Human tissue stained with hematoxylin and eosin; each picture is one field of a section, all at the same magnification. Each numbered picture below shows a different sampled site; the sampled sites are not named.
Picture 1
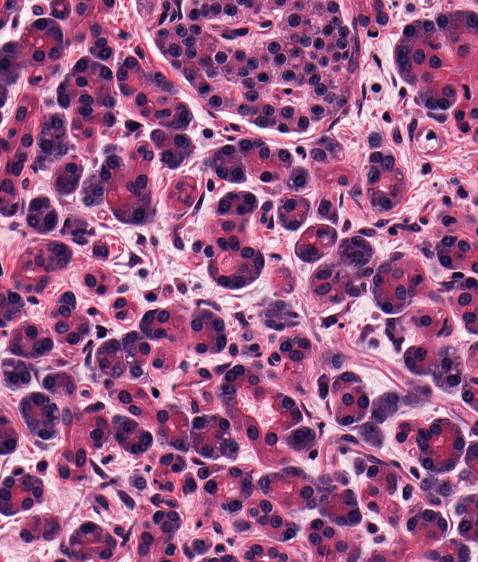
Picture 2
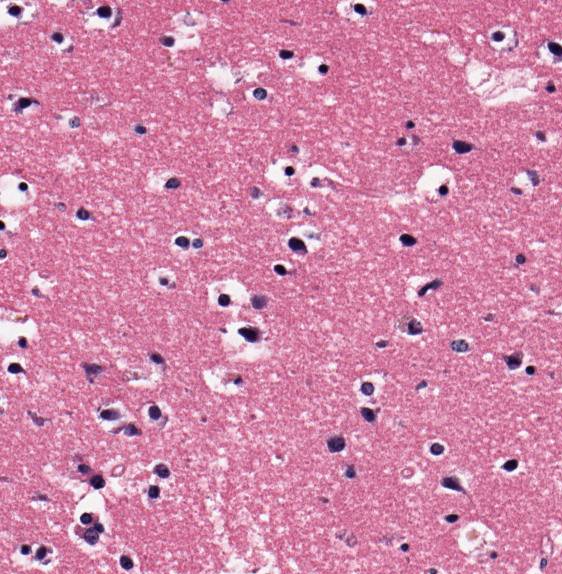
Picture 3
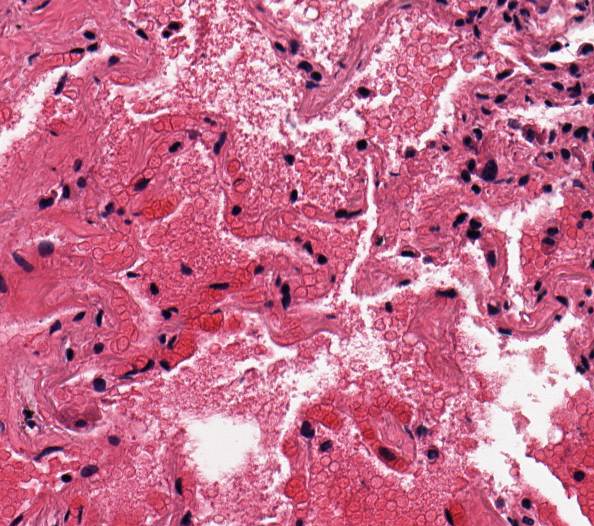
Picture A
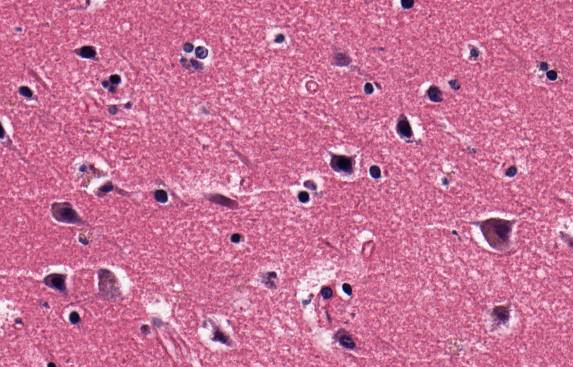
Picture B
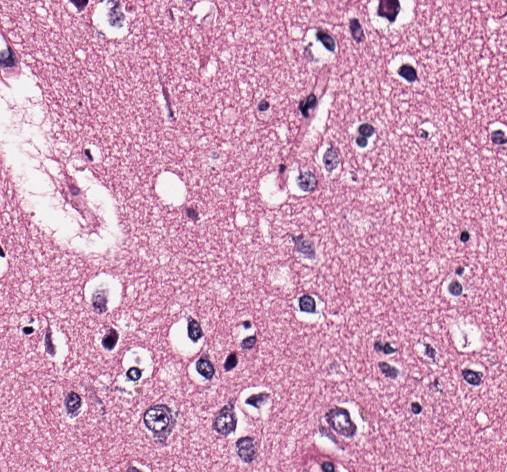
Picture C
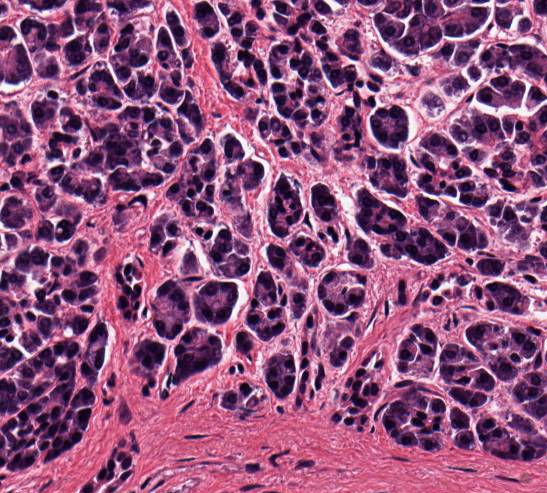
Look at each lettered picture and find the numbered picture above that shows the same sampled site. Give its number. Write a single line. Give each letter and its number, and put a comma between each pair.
A 2, B 2, C 1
